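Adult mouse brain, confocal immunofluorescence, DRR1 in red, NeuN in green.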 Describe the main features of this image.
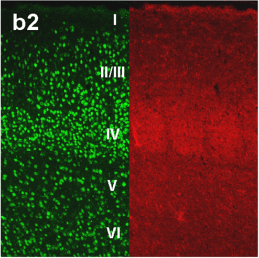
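The topmost layer is nearly free of green nuclei. Below it, small round green nuclei crowd densely through the upper layers and are especially tightly packed in the middle layer. Deeper layers hold more loosely scattered, somewhat larger nuclei. In the red image the signal is diffuse, but a band at the level of the middle layer stands out more brightly than the layers above and below.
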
